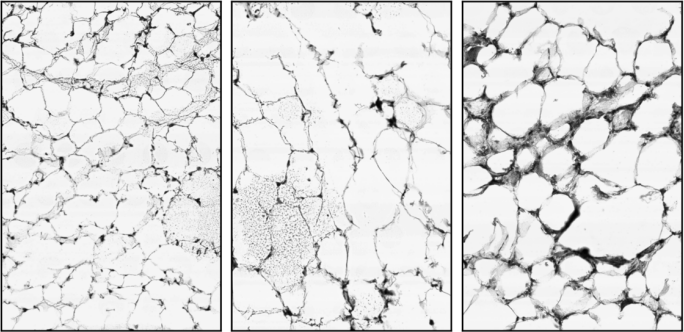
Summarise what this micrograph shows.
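These are sections of white fat, made almost wholly of fat cells. In the middle and right images many cells are much larger and more variable, some very big beside small ones. In the right image the strands between cells are thicker and darker, with denser material packed between some of the cells.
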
